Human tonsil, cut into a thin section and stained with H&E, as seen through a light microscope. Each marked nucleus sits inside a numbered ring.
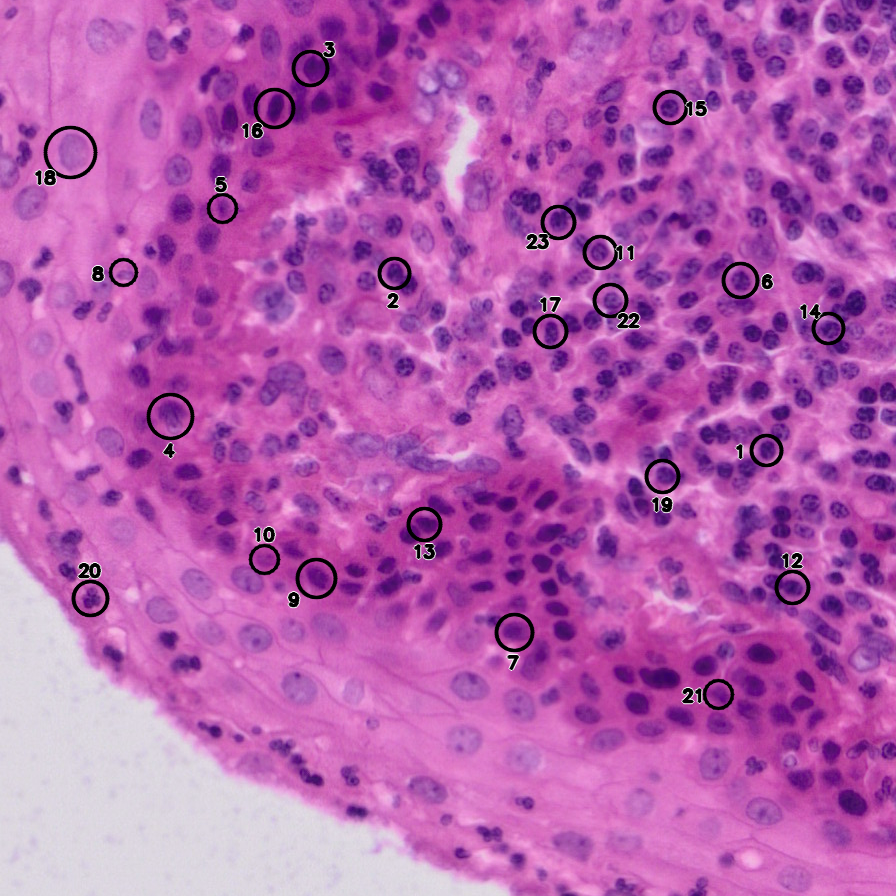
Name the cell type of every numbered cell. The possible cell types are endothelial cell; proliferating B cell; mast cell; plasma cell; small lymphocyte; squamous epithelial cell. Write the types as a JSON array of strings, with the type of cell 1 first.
["plasma cell", "plasma cell", "squamous epithelial cell", "squamous epithelial cell", "squamous epithelial cell", "plasma cell", "squamous epithelial cell", "squamous epithelial cell", "squamous epithelial cell", "squamous epithelial cell", "plasma cell", "plasma cell", "squamous epithelial cell", "plasma cell", "plasma cell", "squamous epithelial cell", "plasma cell", "squamous epithelial cell", "plasma cell", "squamous epithelial cell", "squamous epithelial cell", "plasma cell", "plasma cell"]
